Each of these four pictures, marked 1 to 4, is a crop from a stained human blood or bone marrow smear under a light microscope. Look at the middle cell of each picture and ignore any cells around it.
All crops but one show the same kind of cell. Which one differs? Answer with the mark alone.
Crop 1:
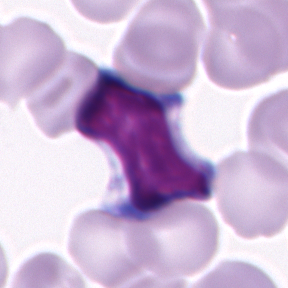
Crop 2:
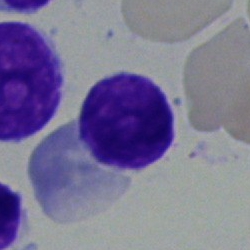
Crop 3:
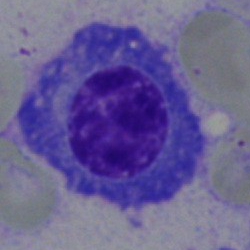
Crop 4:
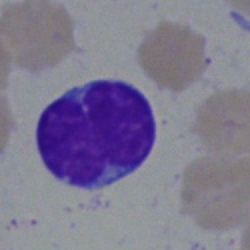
3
